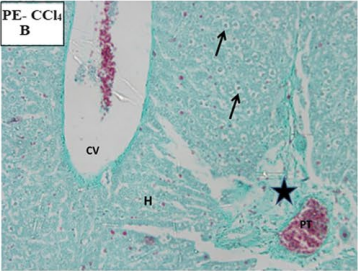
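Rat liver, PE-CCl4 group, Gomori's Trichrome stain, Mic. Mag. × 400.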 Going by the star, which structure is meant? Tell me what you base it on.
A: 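The star lies on a green fibrous area next to a blood-filled vessel. Green fibrous tissue extends from this area into the surrounding parenchyma. The answer: collagen.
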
